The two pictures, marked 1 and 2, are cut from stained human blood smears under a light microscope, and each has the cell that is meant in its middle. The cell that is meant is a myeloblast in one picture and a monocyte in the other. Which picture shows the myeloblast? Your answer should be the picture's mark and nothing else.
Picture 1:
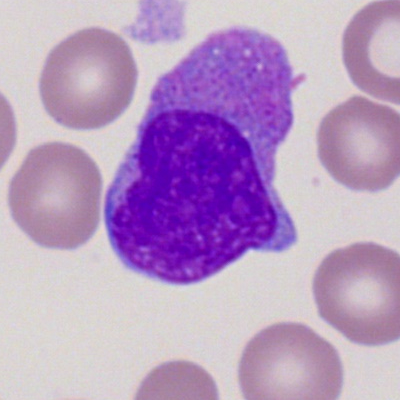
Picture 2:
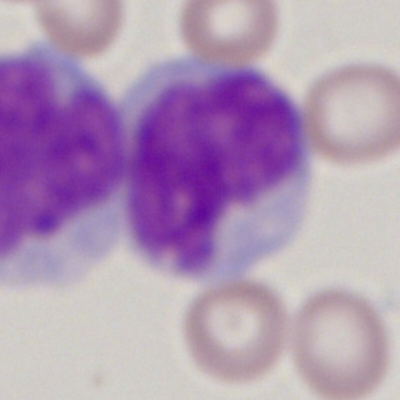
1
